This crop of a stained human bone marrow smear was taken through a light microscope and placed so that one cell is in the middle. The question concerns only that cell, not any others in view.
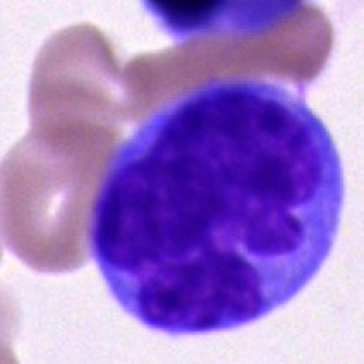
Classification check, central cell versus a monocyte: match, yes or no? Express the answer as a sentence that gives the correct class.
Yes, the cell that lies centrally is a monocyte.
